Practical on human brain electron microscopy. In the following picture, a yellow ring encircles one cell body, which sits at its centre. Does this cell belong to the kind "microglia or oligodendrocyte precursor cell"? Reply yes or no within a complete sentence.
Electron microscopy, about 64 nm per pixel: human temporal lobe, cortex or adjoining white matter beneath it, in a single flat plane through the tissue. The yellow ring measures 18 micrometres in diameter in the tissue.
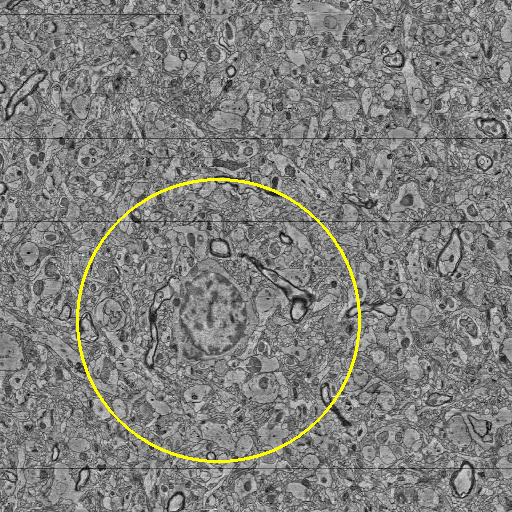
No, the cell lying within the ring at its centre is another kind.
